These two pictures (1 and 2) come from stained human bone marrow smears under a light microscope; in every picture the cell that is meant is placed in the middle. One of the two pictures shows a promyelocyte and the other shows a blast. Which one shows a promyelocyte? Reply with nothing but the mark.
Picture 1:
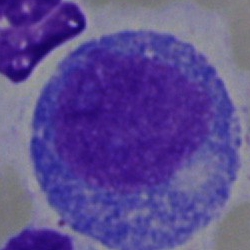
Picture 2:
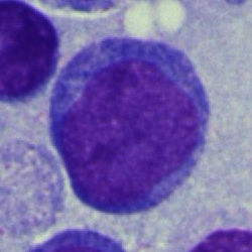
1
